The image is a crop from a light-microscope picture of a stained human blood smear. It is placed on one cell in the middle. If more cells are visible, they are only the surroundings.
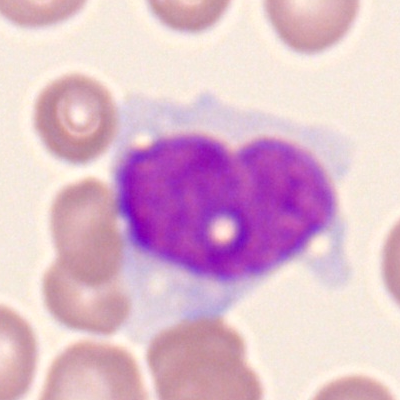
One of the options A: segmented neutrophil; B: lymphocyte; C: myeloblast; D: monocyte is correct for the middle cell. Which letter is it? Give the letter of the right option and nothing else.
D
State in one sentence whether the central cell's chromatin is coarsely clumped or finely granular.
The chromatin is delicate and fine, lacking coarse clumping entirely.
